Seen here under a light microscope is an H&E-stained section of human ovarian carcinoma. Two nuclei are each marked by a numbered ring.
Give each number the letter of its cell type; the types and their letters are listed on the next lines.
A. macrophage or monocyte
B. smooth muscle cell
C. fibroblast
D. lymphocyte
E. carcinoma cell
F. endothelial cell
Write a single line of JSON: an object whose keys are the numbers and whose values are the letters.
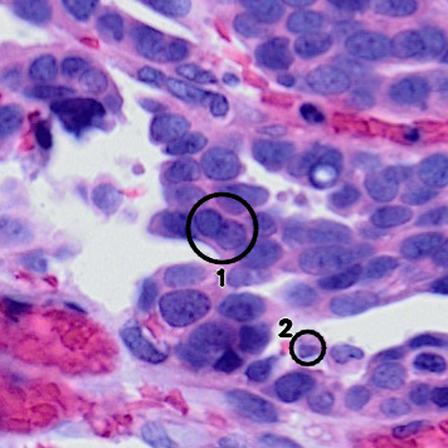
{"1": "E", "2": "A"}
